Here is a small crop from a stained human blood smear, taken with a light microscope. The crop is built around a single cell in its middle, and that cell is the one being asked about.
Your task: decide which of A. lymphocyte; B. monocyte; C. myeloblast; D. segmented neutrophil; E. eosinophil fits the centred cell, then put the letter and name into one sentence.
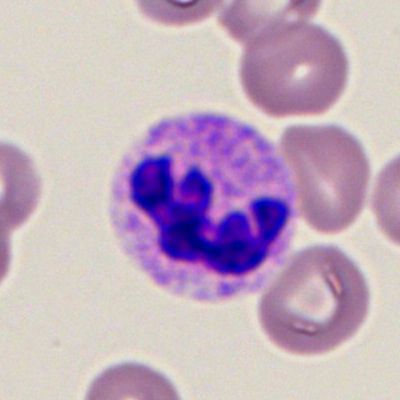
The correct identification, given in option D, is that the central cell is a segmented neutrophil.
